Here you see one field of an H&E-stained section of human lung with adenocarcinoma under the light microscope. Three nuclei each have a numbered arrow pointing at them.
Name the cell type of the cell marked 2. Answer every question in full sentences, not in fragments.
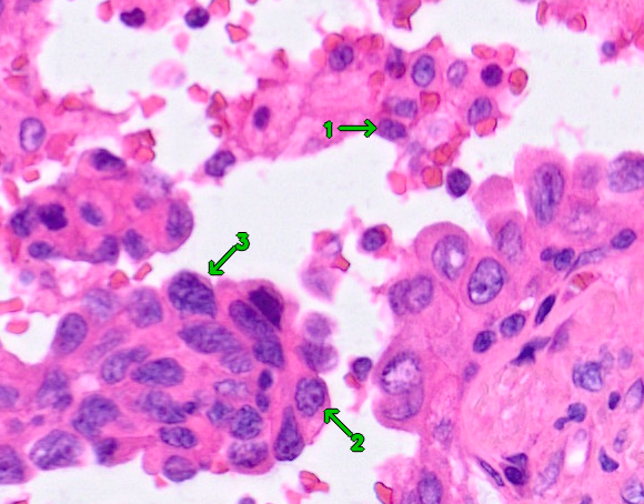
Cell number 2 in this section is a carcinoma cell.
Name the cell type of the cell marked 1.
Identified as a macrophage or monocyte is the cell bearing the number 1.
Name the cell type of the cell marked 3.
Denoted by the label 3 in the section is a carcinoma cell.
